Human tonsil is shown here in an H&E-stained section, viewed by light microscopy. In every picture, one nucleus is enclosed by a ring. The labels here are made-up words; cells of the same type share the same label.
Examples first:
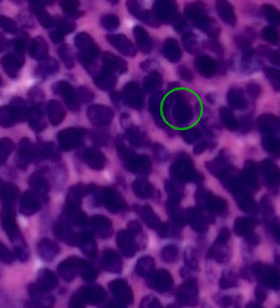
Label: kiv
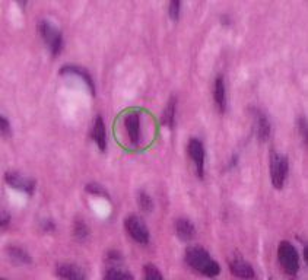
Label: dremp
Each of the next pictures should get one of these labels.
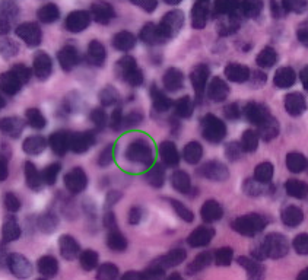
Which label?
kiv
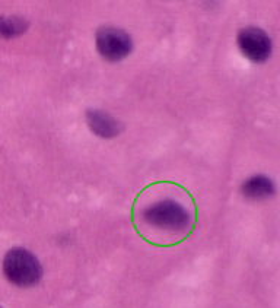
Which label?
dremp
